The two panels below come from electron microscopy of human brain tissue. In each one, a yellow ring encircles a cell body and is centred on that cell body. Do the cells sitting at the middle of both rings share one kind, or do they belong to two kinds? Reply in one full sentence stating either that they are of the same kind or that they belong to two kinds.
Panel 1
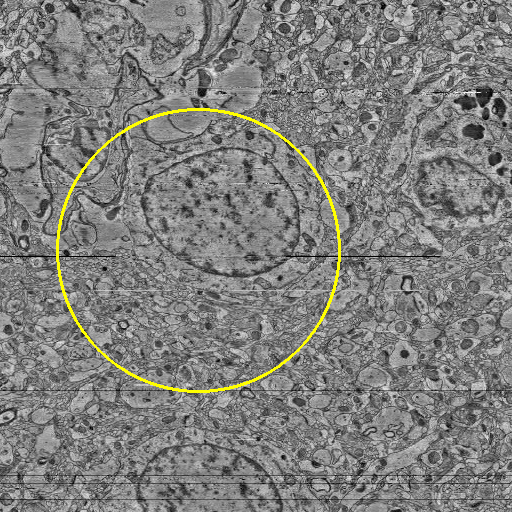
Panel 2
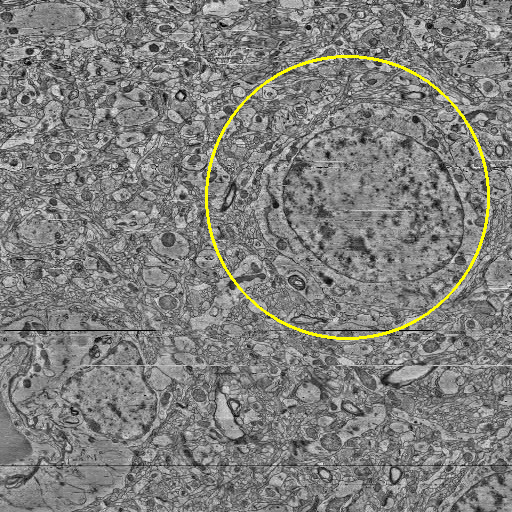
The cells at the centres of the two rings are of the same kind.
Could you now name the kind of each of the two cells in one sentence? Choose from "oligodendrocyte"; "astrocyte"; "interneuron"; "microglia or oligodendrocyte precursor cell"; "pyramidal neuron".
Each of the two cells is a pyramidal neuron.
